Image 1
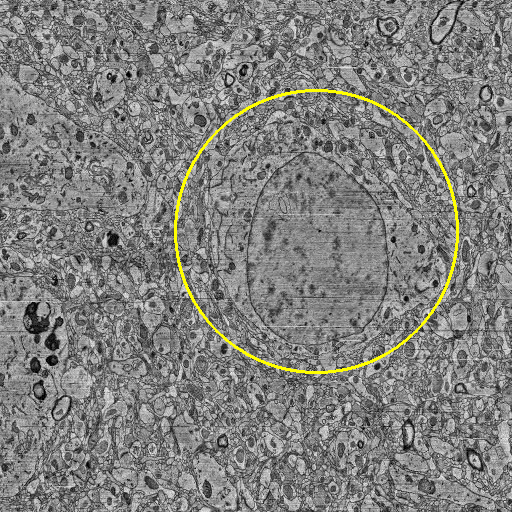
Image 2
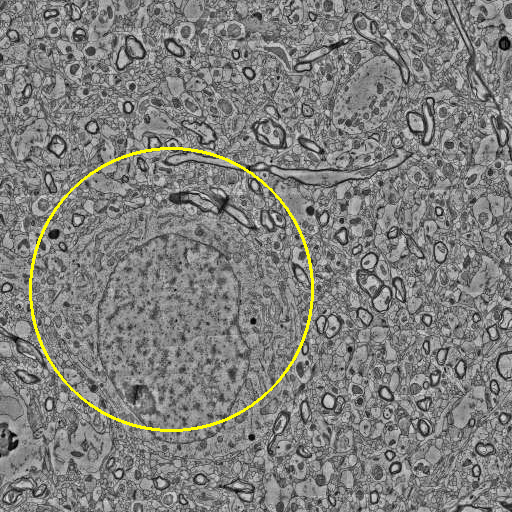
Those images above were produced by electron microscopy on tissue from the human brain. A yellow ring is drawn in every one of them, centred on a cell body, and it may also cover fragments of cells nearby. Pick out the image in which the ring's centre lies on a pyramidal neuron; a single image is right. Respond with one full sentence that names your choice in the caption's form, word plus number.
Image 1 is my choice: its ring is centred on the requested cell.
